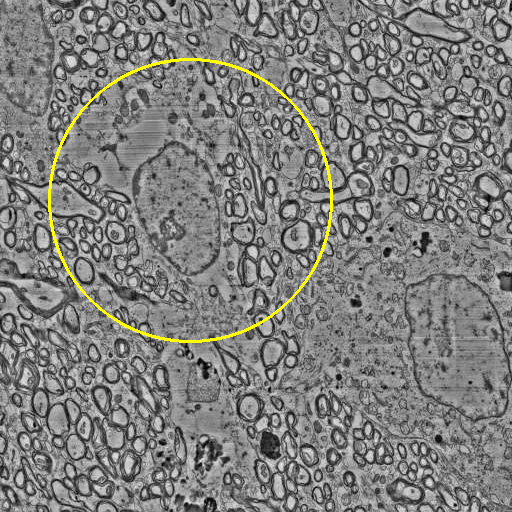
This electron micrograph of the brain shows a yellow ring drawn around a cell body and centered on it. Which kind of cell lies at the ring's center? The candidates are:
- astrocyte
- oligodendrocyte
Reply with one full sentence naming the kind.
The cell lying at the ring's center in this micrograph is an astrocyte.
